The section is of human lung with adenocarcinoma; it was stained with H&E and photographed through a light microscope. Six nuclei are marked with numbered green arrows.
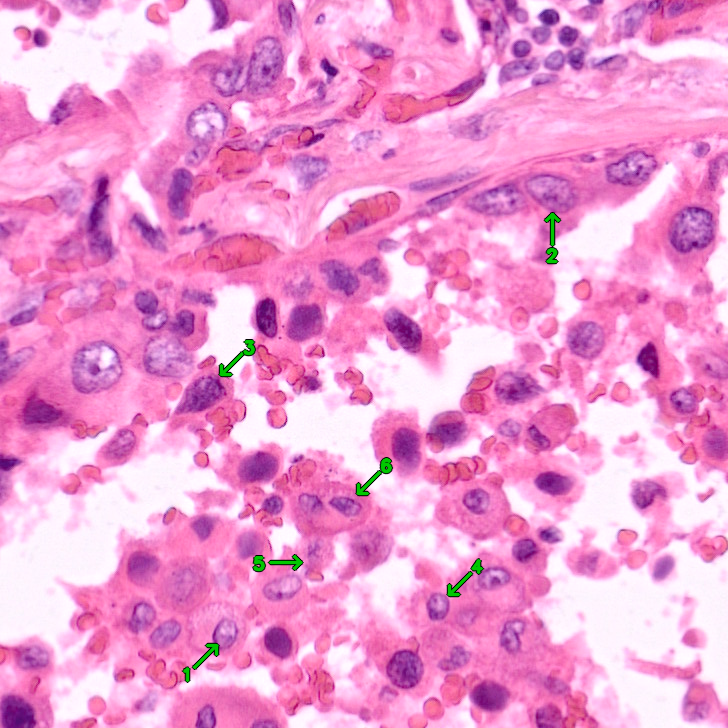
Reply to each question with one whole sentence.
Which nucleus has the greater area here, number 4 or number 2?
Nucleus 2 is larger, with an area about 2.5 times that of nucleus 4.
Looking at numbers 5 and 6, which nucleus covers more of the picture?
Of the two, number 6 is bigger and takes up about 2.5 times the area of number 5.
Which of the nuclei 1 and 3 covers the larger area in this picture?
Nucleus 3 is the larger one, covering about 2 times the area of nucleus 1.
